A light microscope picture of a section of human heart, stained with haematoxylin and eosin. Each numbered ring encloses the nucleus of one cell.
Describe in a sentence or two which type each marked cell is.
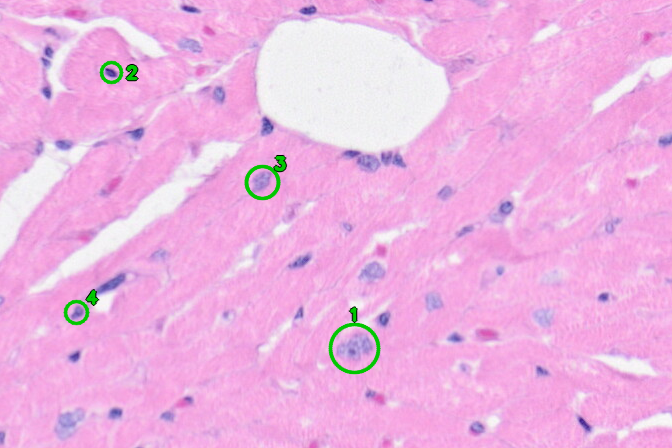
Cells 1 and 3 are cardiomyocytes. Cell 2 is an endothelial cell. Cell 4 is a fibroblast.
